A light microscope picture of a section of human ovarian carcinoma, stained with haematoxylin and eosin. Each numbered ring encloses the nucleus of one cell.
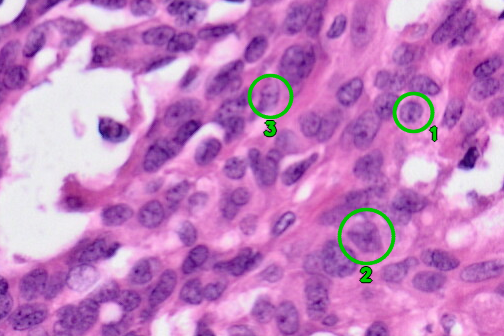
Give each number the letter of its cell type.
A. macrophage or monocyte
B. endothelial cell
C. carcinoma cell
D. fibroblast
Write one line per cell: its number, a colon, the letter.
1: A
2: C
3: C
